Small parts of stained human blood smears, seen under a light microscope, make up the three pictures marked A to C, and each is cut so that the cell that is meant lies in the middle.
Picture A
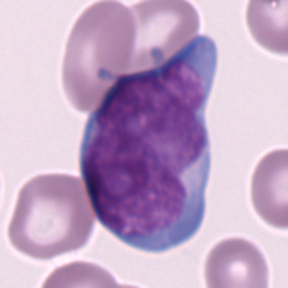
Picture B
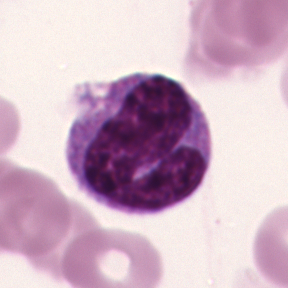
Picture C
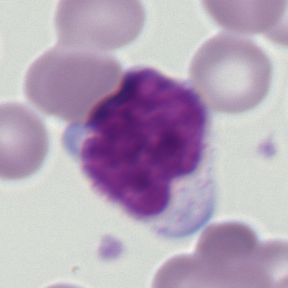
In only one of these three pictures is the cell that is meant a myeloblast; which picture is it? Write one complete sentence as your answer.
Picture A is the one that shows the myeloblast.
